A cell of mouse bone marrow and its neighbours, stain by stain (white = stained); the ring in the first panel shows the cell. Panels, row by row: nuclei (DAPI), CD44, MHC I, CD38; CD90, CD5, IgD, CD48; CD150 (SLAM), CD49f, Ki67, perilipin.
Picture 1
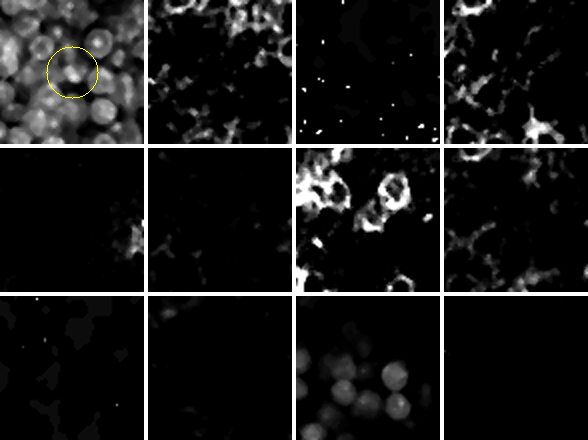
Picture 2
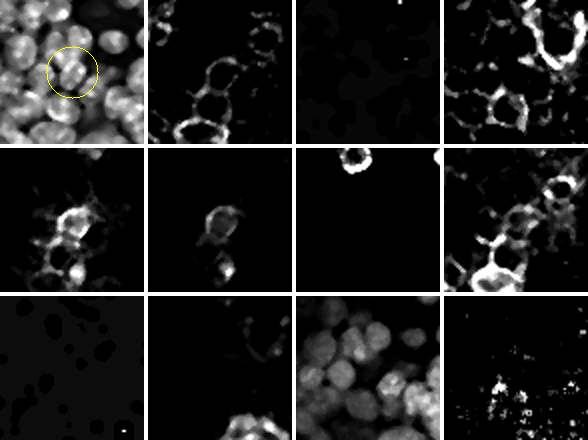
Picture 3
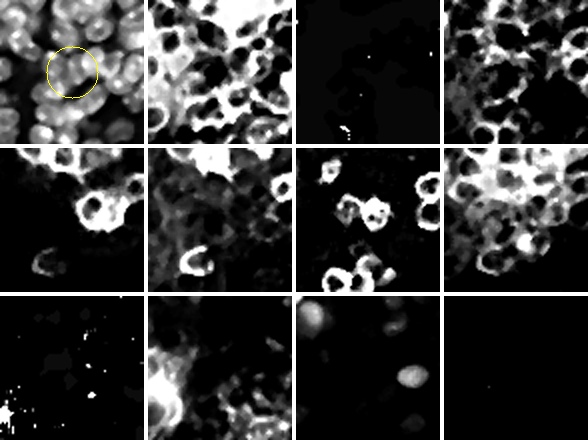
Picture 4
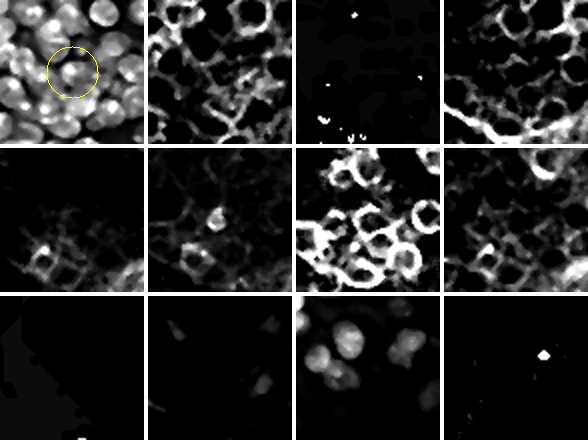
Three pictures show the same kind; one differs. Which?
Picture 2: a T cell, while the others are B cells.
